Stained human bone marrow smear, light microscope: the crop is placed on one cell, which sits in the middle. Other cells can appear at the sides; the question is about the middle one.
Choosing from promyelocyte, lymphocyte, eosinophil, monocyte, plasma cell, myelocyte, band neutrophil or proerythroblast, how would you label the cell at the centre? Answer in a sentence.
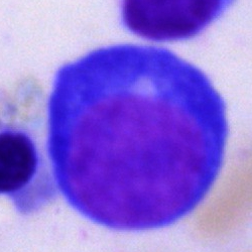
This crop's central cell is a proerythroblast.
